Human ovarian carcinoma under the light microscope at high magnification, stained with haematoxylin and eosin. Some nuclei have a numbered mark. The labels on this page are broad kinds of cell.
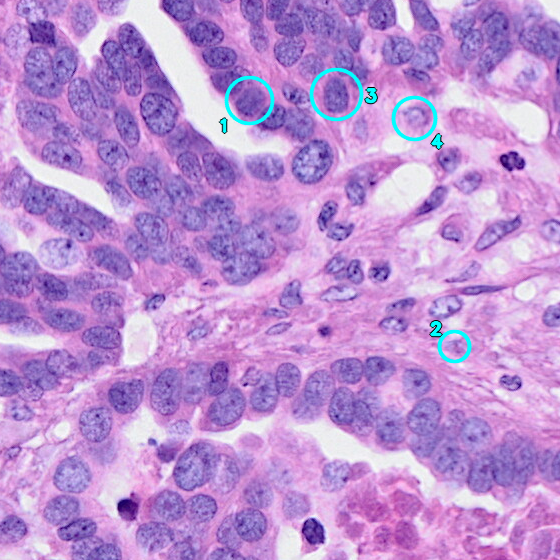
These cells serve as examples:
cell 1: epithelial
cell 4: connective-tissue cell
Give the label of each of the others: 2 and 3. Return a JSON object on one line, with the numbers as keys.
{"2": "connective-tissue cell", "3": "epithelial"}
